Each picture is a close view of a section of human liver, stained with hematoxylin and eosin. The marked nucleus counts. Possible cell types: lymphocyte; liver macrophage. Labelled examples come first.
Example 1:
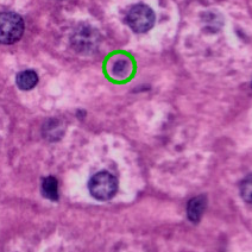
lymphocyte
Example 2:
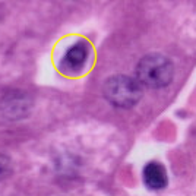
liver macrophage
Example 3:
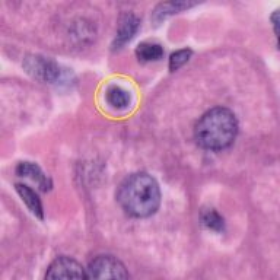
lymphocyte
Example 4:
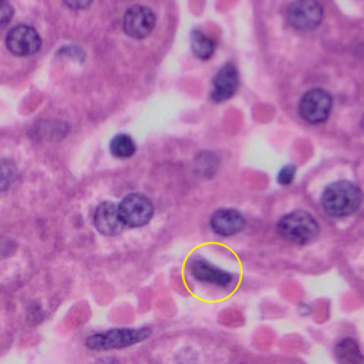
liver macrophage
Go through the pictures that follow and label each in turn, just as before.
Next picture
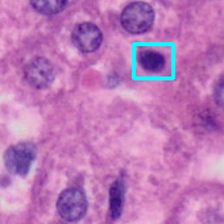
lymphocyte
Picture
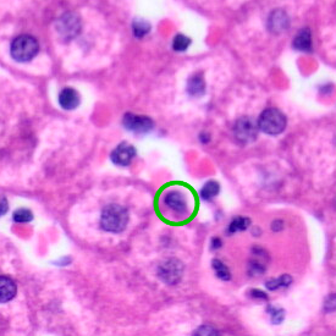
liver macrophage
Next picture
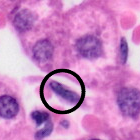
liver macrophage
